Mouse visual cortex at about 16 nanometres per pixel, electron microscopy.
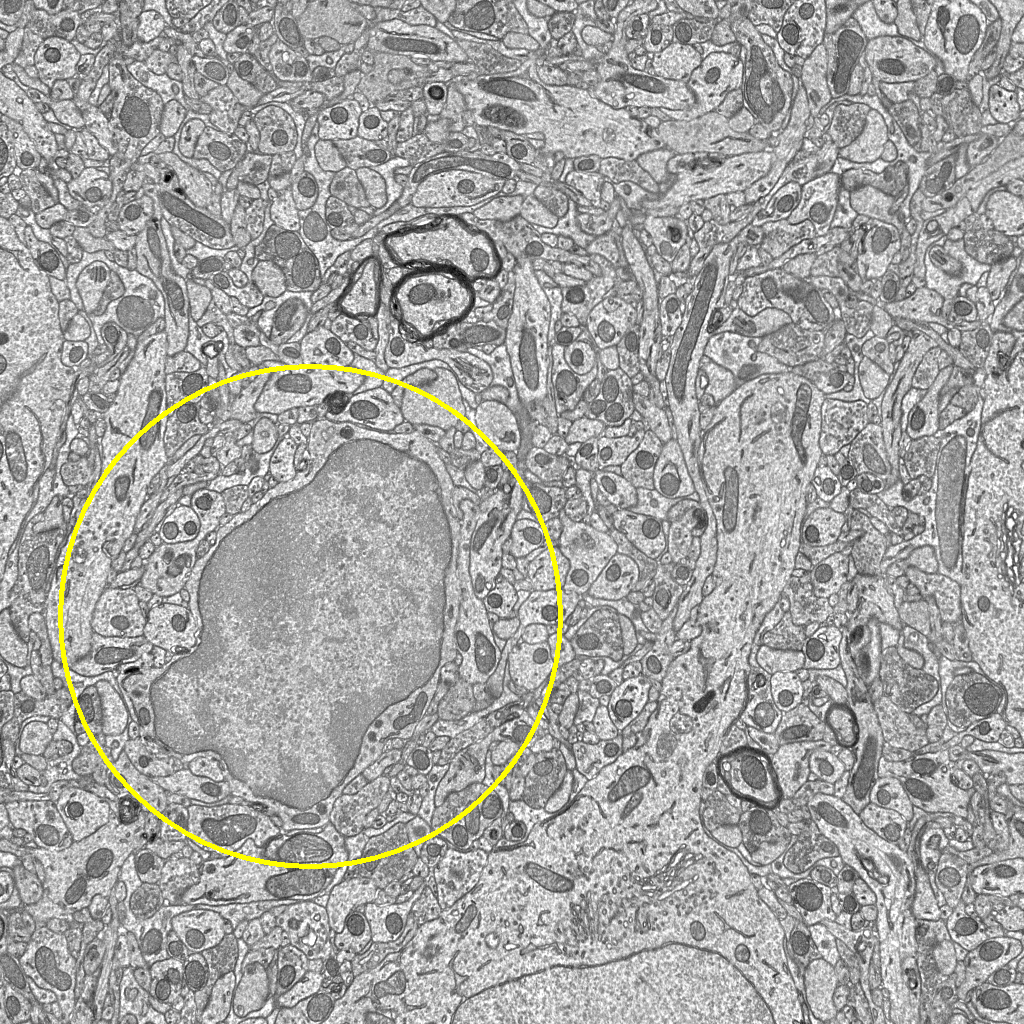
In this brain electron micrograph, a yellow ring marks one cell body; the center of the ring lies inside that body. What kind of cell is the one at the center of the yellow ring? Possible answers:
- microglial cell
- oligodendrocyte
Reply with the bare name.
microglial cell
